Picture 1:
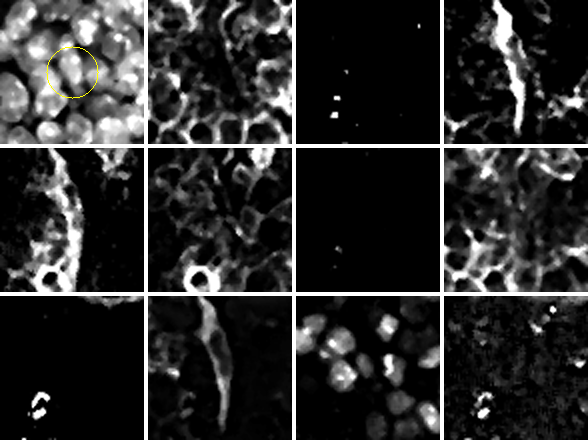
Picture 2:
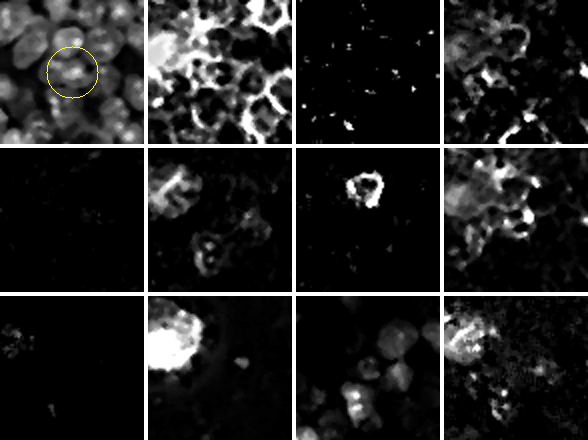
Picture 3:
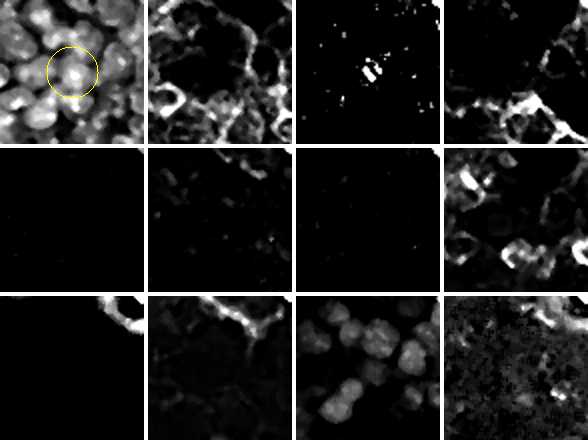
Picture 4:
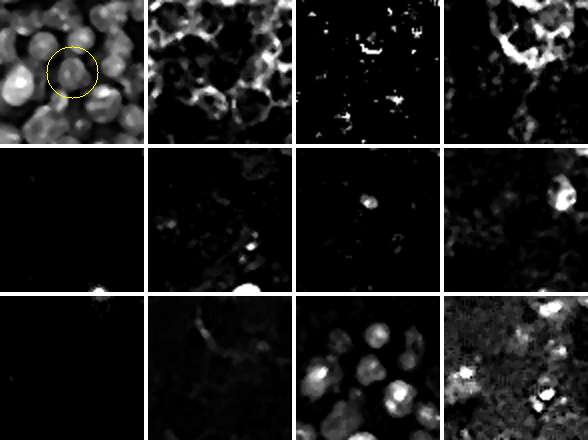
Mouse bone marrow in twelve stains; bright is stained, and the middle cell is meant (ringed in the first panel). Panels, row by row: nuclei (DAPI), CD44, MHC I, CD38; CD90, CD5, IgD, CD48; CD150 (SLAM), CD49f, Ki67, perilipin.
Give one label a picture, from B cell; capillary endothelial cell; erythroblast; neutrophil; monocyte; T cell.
(1) capillary endothelial cell
(2) monocyte
(3) erythroblast
(4) capillary endothelial cell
